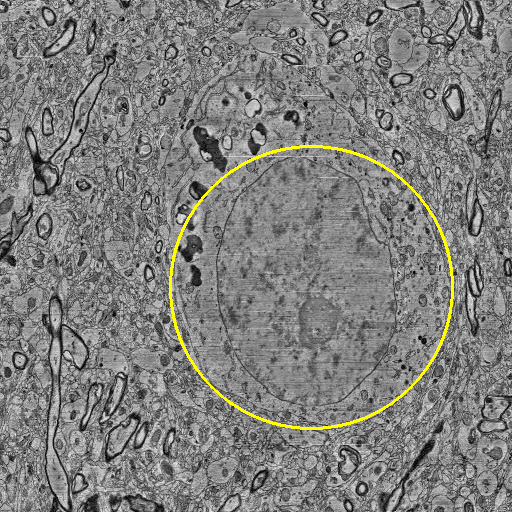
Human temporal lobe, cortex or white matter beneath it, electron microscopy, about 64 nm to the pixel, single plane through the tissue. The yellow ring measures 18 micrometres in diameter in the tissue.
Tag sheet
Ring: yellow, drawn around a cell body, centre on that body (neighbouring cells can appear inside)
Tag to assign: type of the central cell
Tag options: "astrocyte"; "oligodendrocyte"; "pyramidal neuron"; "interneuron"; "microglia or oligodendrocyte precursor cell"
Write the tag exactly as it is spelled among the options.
pyramidal neuron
